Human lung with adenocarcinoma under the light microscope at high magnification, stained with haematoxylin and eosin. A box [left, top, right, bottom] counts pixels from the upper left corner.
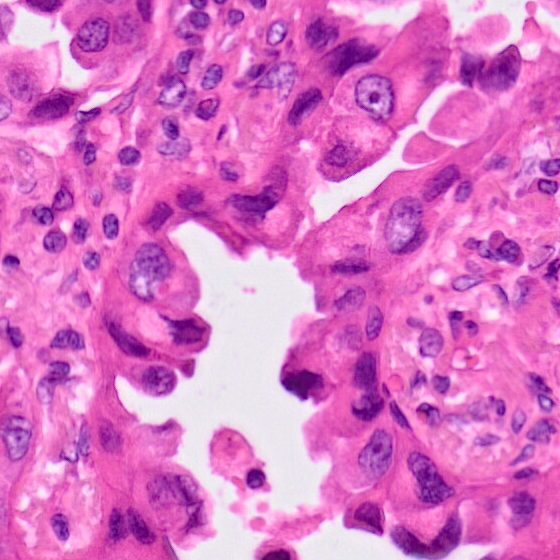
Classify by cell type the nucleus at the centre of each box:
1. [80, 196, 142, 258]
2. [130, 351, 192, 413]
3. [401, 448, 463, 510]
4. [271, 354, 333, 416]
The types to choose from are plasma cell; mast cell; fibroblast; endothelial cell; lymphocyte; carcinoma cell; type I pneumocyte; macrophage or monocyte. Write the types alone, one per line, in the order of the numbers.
lymphocyte
carcinoma cell
carcinoma cell
carcinoma cell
